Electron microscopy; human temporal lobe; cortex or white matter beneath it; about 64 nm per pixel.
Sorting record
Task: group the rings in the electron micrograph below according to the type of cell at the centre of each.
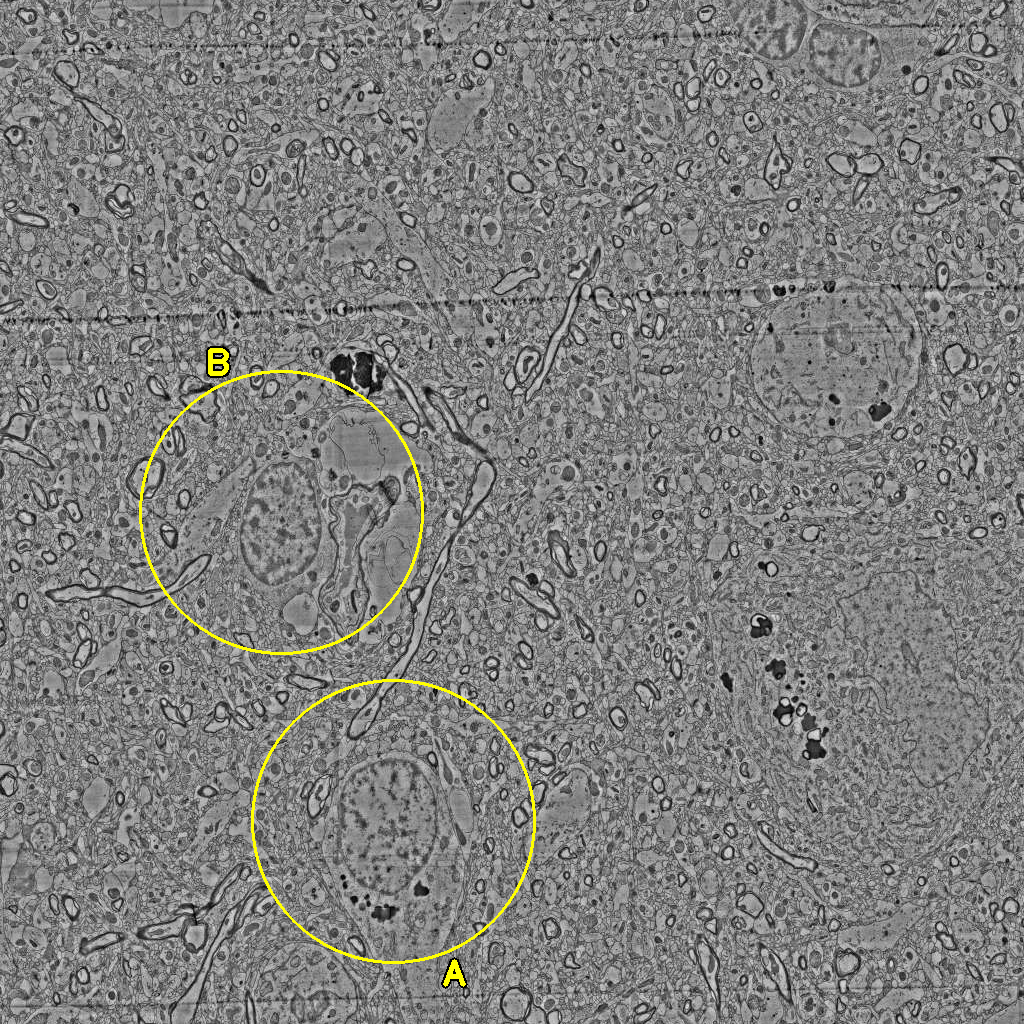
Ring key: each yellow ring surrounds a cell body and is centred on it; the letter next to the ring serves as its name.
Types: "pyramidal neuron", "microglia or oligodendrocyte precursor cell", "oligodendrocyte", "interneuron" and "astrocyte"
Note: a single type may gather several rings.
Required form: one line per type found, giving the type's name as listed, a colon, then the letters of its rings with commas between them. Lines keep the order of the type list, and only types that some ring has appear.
oligodendrocyte: B
interneuron: A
